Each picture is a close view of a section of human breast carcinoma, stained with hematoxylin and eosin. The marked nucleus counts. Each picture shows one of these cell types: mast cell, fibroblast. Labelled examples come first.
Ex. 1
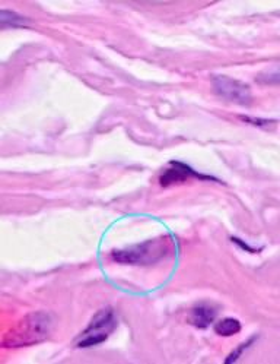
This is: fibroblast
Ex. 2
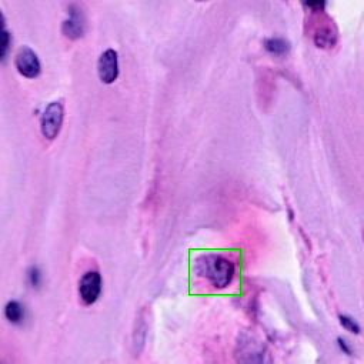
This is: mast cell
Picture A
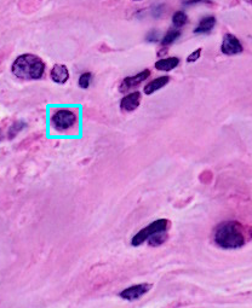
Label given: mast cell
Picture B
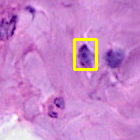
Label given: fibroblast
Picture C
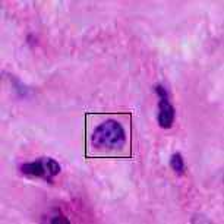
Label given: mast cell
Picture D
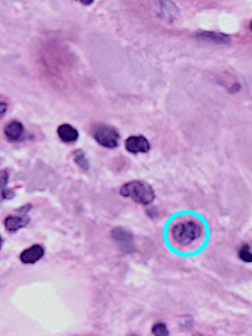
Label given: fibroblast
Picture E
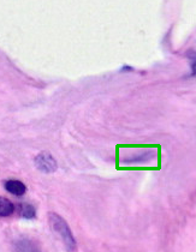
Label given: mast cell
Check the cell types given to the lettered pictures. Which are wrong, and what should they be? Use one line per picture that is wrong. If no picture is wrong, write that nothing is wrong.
D: change fibroblast to mast cell
E: change mast cell to fibroblast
